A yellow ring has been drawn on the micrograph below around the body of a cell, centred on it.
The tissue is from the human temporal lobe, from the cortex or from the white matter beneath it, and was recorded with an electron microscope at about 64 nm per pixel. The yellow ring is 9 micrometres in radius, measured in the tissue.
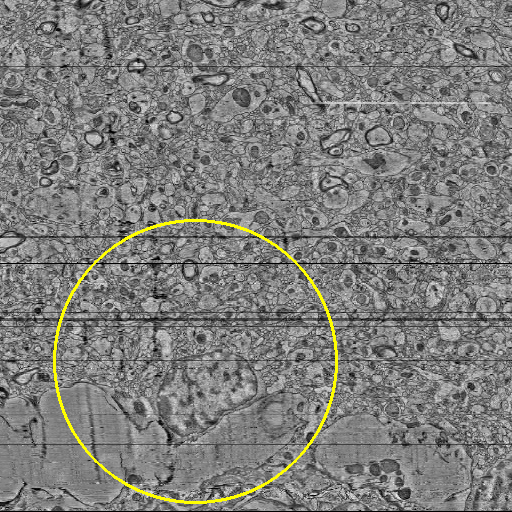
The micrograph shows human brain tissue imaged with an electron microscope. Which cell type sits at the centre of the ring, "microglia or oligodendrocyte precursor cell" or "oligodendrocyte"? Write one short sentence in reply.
The cell sitting at the centre of the ring is an oligodendrocyte.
